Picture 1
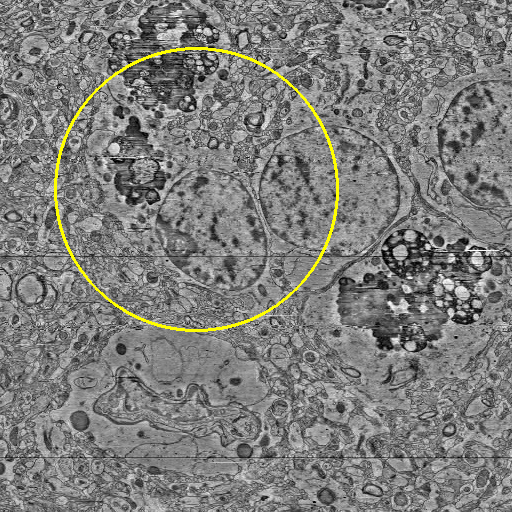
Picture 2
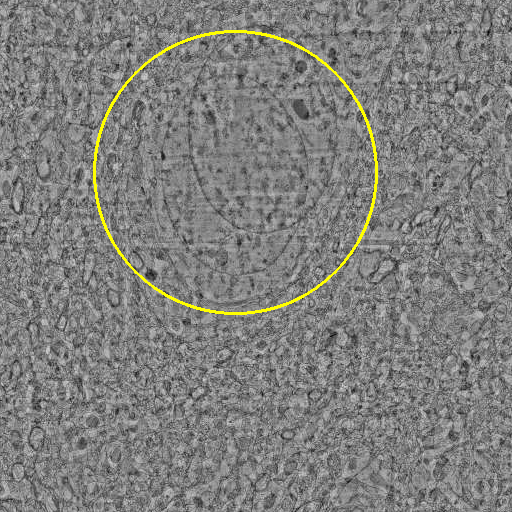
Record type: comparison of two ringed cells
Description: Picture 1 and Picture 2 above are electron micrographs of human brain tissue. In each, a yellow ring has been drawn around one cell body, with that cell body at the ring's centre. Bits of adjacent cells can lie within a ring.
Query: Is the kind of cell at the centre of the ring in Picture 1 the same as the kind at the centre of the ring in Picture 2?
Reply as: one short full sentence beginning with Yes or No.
No, the two ringed cells are of two separate kinds.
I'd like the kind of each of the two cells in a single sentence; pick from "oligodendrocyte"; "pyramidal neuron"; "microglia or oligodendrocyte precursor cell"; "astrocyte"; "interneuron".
The first ring marks an astrocyte, and the second ring marks a pyramidal neuron.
